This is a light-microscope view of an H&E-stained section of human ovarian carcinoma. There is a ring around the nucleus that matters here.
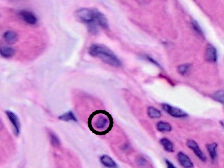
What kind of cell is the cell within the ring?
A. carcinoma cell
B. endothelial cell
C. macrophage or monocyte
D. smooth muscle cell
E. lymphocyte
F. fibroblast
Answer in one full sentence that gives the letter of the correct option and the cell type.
Option D gets it right: the cell within the ring is a smooth muscle cell.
